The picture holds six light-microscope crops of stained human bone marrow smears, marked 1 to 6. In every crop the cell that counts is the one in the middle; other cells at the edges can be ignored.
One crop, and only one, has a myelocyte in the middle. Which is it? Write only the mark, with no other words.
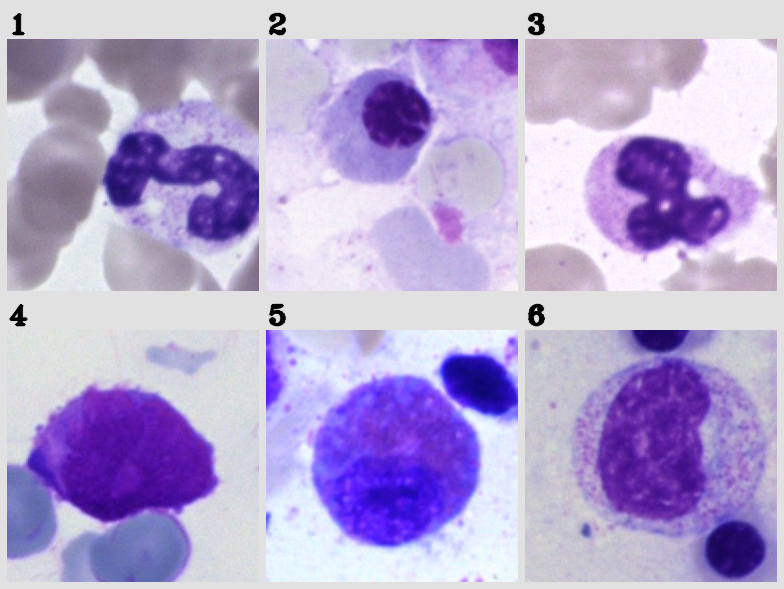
6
